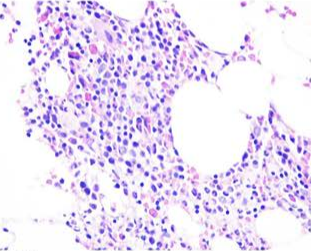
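This is a section of bone marrow. Several large, clear, rounded spaces are fat cells, whose contents dissolved during processing, leaving only thin walls. Between them the marrow space is crowded with small blood-forming cells of mixed kinds: many have round, dark purple nuclei, some with a rim of pinkish cytoplasm, and scattered cells show brighter pink cytoplasm. Take note of how cellular the spaces between the fat are.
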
